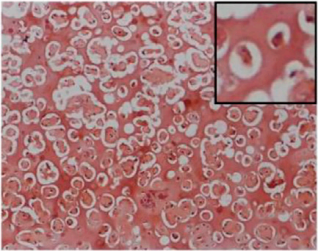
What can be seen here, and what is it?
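Chondrocytes lie in rounded clear spaces scattered densely through a matrix that is stained red. Small dark nuclei are seen within the spaces, and the red matrix forms rims and bands between them.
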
